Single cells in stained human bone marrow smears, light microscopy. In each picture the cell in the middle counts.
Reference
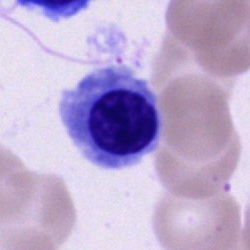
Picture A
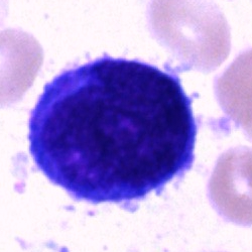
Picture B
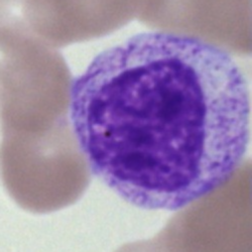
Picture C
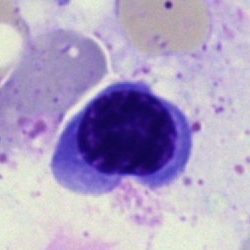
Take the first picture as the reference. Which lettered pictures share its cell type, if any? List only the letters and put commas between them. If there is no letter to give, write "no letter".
C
